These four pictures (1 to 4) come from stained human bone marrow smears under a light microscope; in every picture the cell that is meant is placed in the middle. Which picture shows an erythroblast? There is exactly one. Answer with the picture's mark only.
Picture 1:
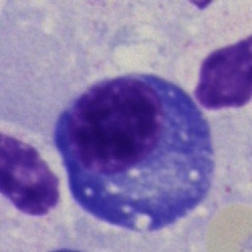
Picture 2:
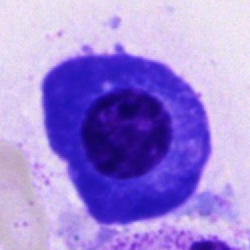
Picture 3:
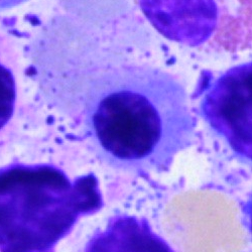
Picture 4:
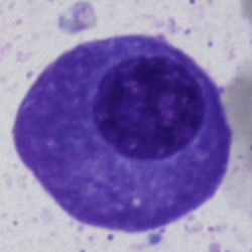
3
